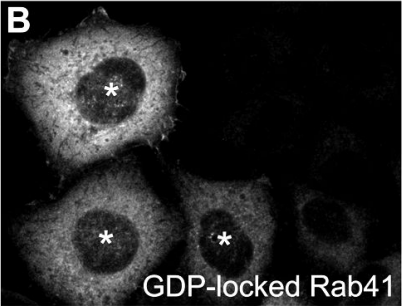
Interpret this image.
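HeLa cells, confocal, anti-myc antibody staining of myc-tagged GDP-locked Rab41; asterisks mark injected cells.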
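The label is diffuse, with no obvious bright puncta gathering at the edges. Cell margins are smoother here, with only a few short projections. Brightness differs between cells, and some nearby cells are barely labelled.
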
